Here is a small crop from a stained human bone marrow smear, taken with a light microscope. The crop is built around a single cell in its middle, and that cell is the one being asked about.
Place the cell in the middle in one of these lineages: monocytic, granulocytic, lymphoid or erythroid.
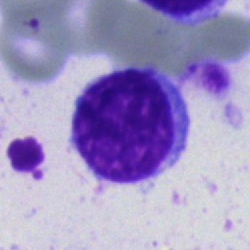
lymphoid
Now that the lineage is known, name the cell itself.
lymphocyte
